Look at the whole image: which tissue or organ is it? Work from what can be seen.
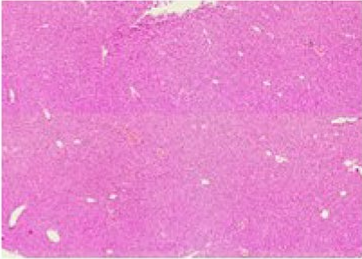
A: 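A uniform sheet of pink parenchyma fills the section. So: liver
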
